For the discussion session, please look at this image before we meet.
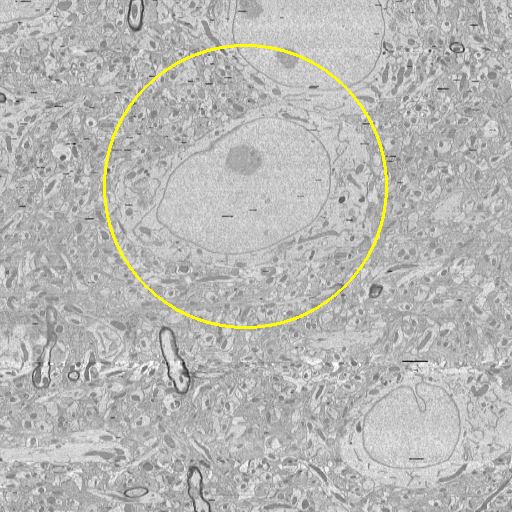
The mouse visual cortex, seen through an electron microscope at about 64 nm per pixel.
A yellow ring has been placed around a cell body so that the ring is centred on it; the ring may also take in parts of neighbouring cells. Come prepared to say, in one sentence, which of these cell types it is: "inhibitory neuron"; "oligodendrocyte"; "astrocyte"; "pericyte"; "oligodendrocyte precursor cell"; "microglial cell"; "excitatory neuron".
The cell centred in the ring is an excitatory neuron.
